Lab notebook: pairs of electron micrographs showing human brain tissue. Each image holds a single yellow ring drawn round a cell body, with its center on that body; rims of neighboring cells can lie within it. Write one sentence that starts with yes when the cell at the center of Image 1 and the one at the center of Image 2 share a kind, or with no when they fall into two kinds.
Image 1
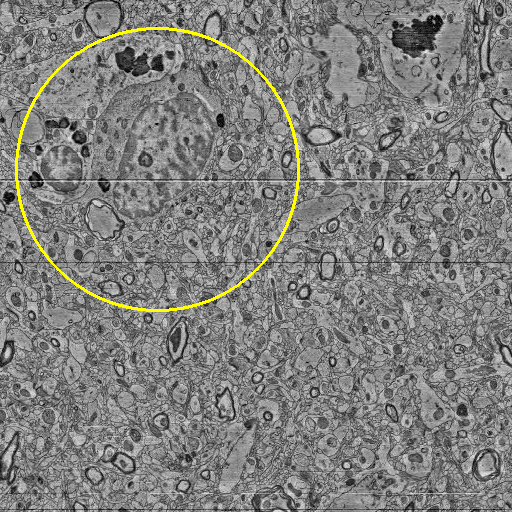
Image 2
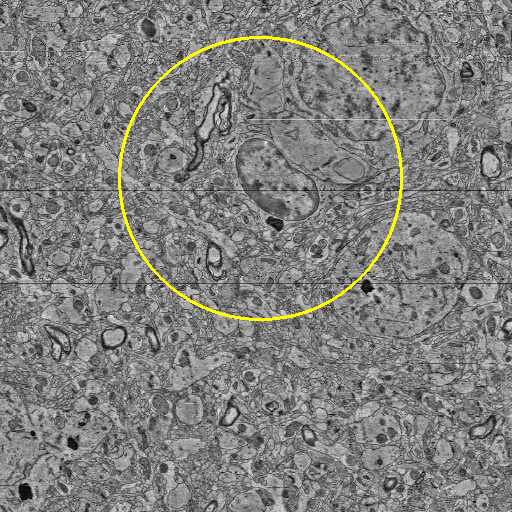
No, the centered cell in Image 1 and the centered cell in Image 2 are of two kinds.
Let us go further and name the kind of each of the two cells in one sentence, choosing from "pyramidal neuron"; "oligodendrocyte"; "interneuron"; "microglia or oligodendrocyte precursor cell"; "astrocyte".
The ring of the first picture is on an oligodendrocyte, the ring of the second on a microglial cell or oligodendrocyte precursor cell.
